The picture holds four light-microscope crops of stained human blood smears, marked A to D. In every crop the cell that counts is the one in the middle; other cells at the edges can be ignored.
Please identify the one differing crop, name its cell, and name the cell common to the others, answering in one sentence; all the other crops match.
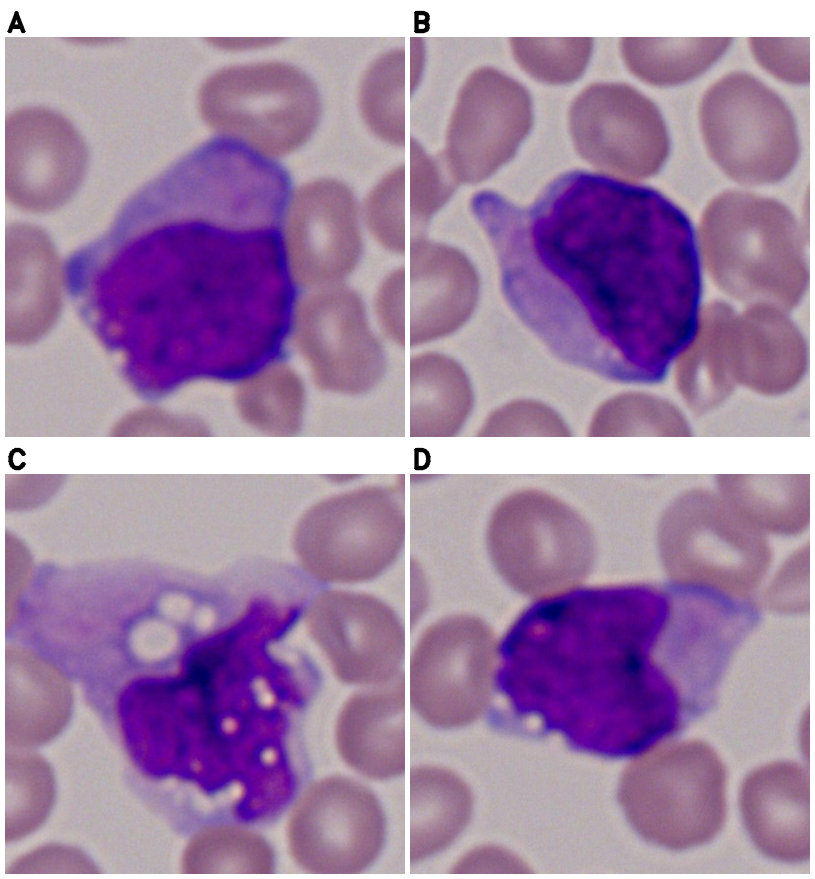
Crop C does not fit, being a monocyte where all the others show myeloblasts.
